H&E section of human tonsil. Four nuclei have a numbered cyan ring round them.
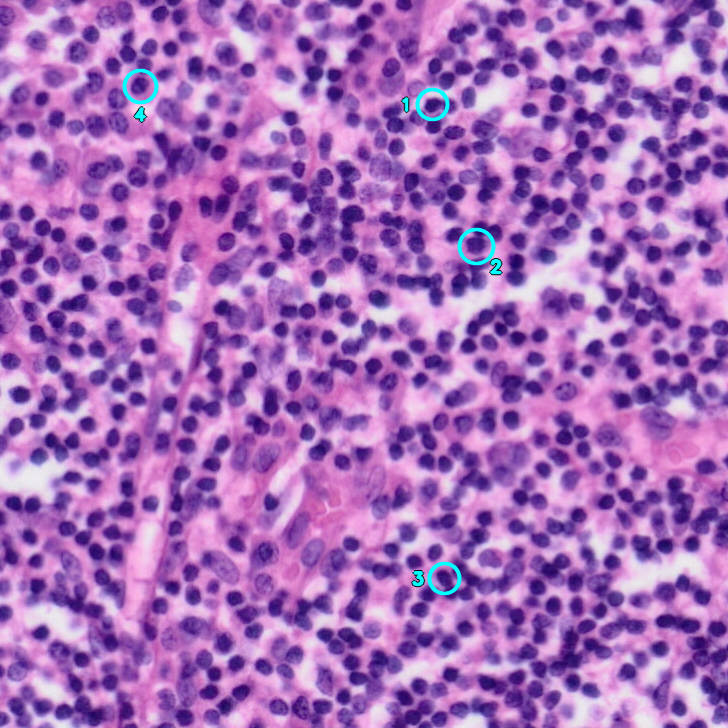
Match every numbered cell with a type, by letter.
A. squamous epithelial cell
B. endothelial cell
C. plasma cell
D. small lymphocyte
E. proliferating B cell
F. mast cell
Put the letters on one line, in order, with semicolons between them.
D; D; D; C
